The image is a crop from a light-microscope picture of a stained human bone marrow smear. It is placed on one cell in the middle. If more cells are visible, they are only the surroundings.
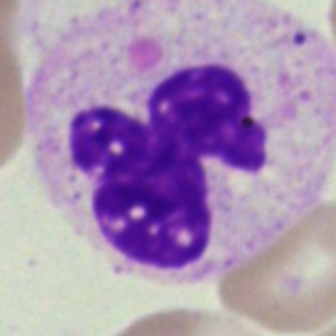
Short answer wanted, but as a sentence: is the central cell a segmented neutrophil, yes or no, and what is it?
Yes, centred in the crop is a segmented neutrophil.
